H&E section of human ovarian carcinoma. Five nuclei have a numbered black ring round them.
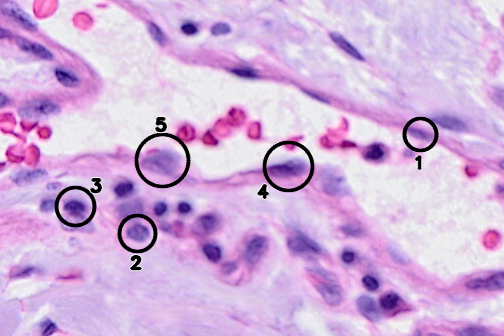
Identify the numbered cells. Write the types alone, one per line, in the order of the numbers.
endothelial cell
lymphocyte
lymphocyte
endothelial cell
endothelial cell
